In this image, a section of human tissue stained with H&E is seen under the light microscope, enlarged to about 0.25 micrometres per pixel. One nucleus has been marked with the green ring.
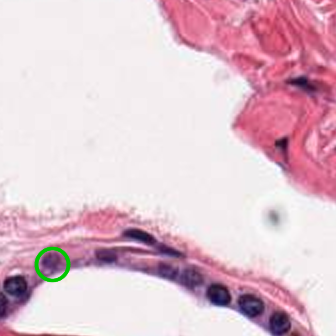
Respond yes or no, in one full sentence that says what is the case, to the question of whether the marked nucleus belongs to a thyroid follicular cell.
Yes, the owner of the marked nucleus is a thyroid follicular cell.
